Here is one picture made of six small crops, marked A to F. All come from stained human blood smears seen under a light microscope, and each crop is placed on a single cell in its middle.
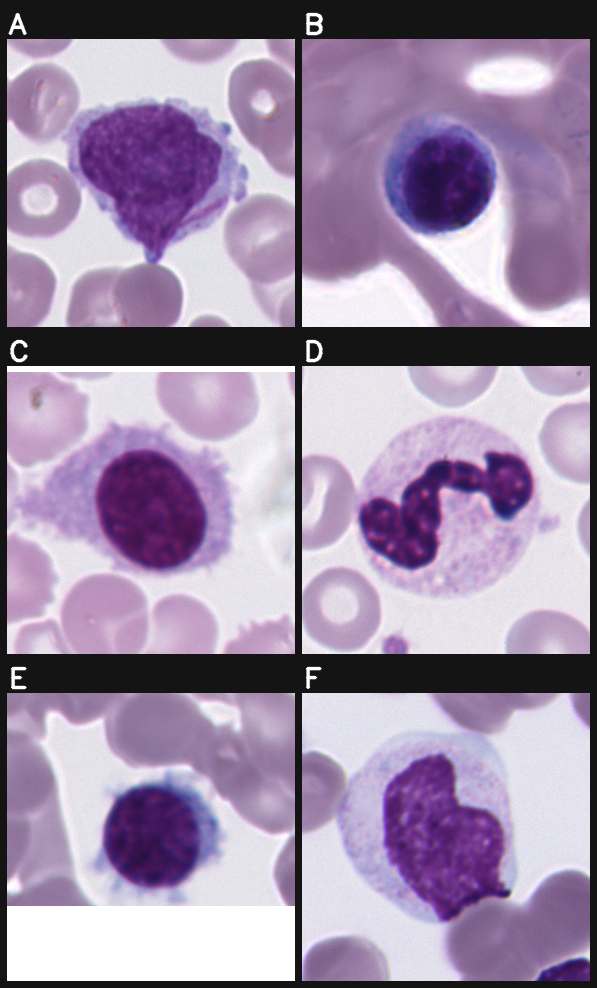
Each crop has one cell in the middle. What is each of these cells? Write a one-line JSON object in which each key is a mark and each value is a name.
{"A": "atypical promyelocyte", "B": "plasma cell", "C": "hairy cell", "D": "segmented neutrophil", "E": "hairy cell", "F": "metamyelocyte"}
